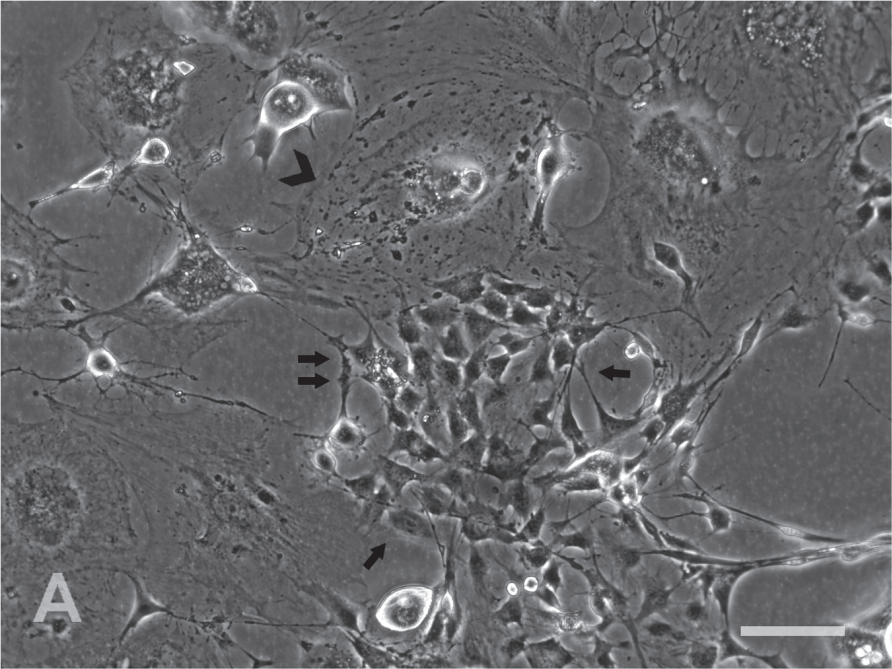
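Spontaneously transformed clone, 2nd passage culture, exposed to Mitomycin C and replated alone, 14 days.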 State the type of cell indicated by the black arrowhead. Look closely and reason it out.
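Broad cells. Very large, flattened cells with wide pale cytoplasm. These flat cells surround the central cluster of small cells.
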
